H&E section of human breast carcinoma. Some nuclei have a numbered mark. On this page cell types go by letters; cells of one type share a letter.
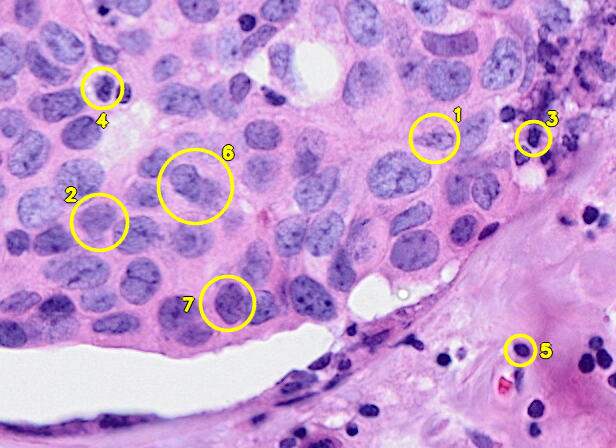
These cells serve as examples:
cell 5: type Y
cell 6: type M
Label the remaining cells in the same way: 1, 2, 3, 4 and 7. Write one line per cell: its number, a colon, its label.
1: type M
2: type M
3: type Y
4: type Y
7: type M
